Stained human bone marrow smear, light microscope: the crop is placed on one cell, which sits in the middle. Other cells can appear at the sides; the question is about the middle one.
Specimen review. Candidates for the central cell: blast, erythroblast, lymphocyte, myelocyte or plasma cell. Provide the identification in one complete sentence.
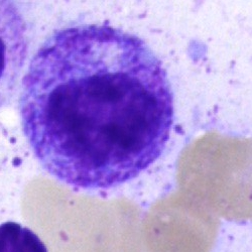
This crop has a myelocyte at its centre.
